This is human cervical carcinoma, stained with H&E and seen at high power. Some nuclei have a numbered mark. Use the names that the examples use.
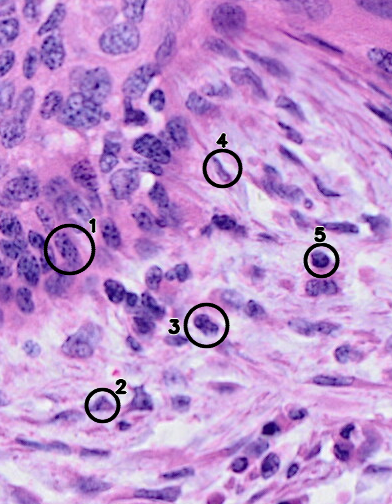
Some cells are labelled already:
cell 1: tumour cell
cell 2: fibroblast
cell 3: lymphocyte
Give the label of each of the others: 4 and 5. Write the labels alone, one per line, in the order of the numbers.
fibroblast
lymphocyte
